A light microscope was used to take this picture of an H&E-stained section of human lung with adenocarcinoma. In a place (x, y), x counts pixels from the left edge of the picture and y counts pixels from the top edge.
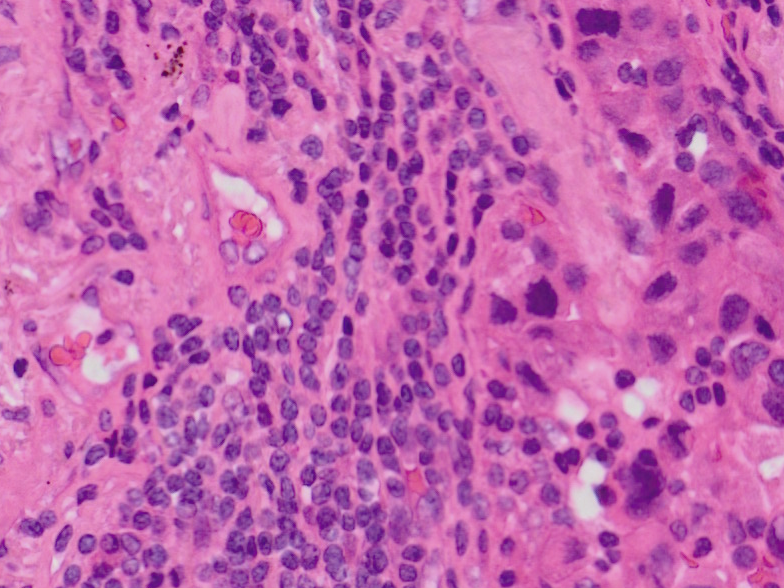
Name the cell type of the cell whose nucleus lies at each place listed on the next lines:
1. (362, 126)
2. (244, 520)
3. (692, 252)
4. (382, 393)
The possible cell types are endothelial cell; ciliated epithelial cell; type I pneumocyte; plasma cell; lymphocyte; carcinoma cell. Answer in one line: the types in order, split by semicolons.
lymphocyte; lymphocyte; carcinoma cell; lymphocyte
